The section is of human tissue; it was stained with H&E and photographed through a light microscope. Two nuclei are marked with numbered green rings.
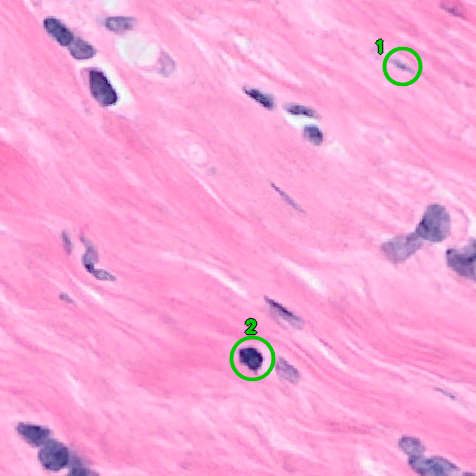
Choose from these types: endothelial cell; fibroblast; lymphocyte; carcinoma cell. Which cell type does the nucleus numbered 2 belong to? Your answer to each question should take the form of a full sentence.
In this section, the cell tagged 2 is a lymphocyte.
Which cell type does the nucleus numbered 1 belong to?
Number 1 is placed on a fibroblast here.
